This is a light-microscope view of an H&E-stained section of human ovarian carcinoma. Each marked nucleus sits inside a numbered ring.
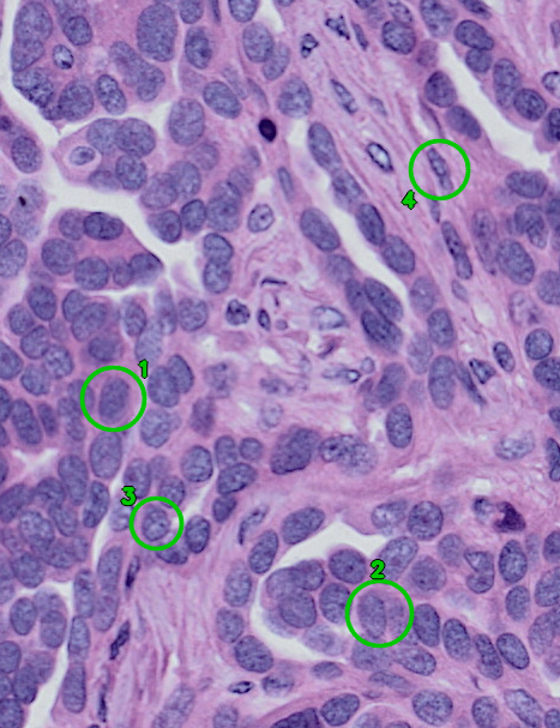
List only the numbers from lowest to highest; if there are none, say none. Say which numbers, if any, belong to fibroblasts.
4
